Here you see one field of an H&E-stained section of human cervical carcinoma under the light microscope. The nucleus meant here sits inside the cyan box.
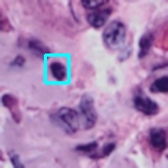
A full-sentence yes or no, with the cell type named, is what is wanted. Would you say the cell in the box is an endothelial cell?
No, in this section the cell in the box is a lymphocyte and not an endothelial cell.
